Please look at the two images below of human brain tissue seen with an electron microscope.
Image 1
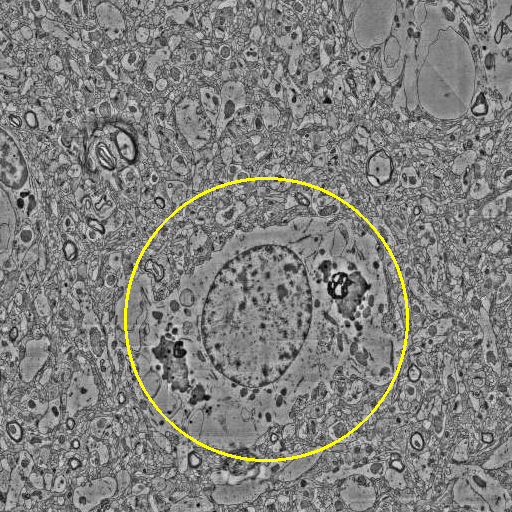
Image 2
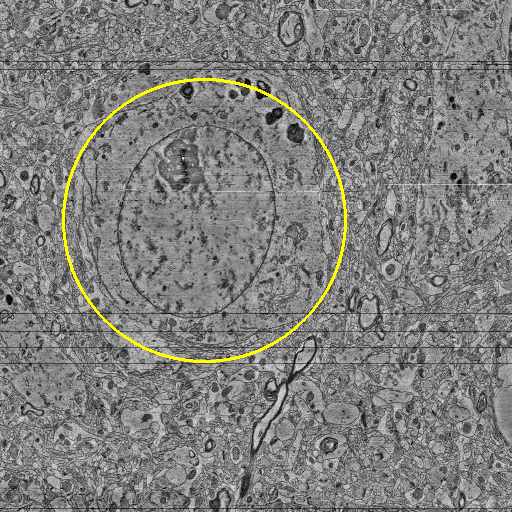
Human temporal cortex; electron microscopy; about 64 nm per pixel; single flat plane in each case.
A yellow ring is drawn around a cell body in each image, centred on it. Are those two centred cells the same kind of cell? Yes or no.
no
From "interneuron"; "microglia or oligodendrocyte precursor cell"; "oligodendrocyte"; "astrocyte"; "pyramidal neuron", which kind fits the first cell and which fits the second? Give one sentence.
The cell marked in the first picture is an astrocyte, and the one marked in the second is a pyramidal neuron.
